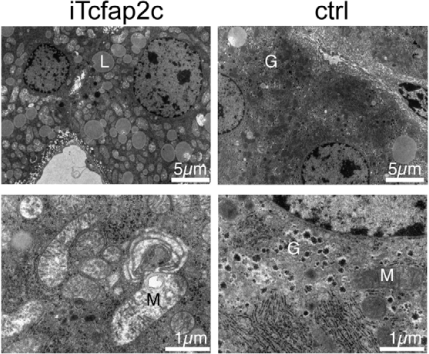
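These are electron micrographs of liver hepatocytes, the left pair showing large round nuclei with clumped dark chromatin and a cytoplasm crowded with many round, pale grey, homogeneous droplets of varied size. In the lower left image the organelles marked M are pale and swollen, with disrupted, whorled inner membranes. In the right pair the cytoplasm is dark and dense, without crowding droplets, and small dark granules marked G lie scattered among dark, compact mitochondria. The pale round droplets are lipid droplets filling the hepatocytes, and the bright mitochondria on the left point to mitochondria damage. The dark granules on the right are glycogen granules, seen only in the right pair.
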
